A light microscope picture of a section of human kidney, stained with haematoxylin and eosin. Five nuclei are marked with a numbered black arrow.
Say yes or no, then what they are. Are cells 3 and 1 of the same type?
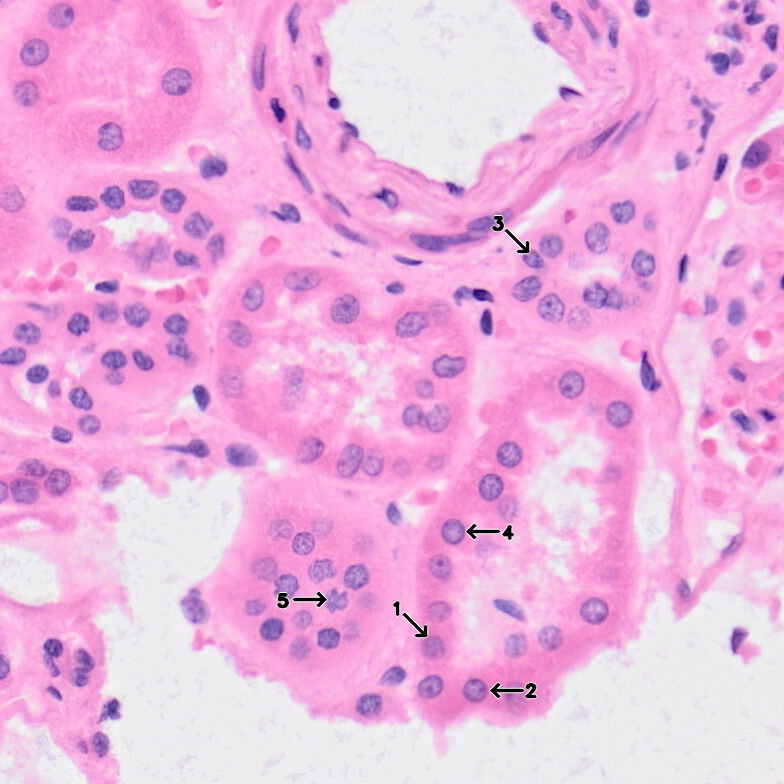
No, listen: cell 3 is a collecting duct cell and cell 1 is a proximal tubule cell.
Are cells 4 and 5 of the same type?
No, cell 4 is a proximal tubule cell and cell 5 is a loop of Henle or distal tubule cell.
